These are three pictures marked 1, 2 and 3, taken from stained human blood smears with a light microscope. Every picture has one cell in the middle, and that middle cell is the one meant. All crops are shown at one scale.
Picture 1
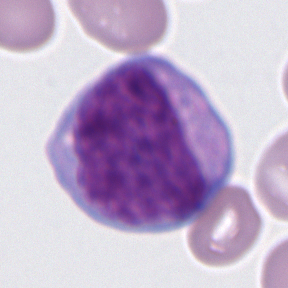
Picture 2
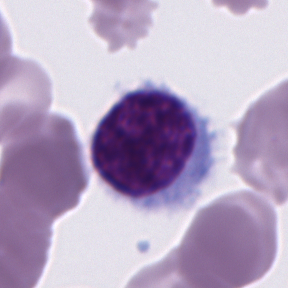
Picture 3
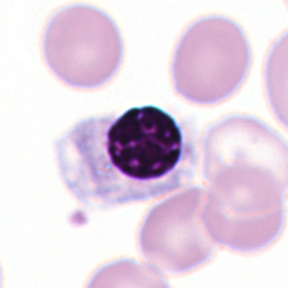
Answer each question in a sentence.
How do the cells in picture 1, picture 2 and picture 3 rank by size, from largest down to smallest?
Largest first: 1, 2, 3.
